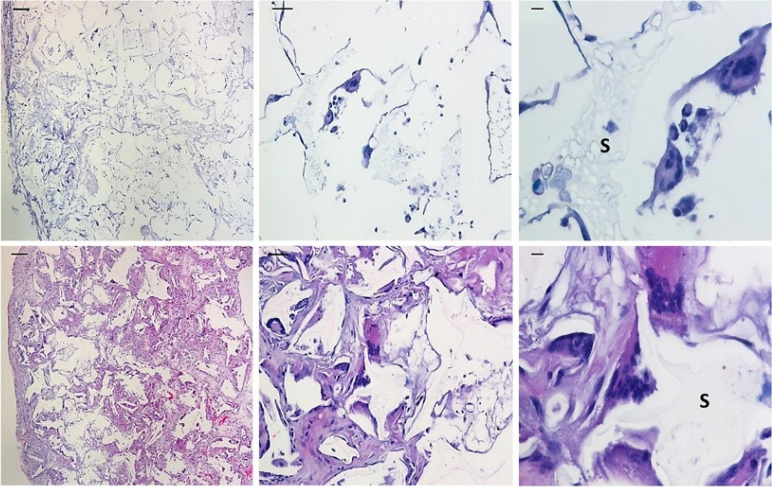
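In the upper row, the pores are mostly empty and only scattered bluish cells with dark nuclei cling to the strut edges. In the lower row, the pores are largely filled by dense pink eosinophilic tissue that contains many purple nuclei. At the highest magnification, large cells with several clustered dark nuclei lie against the scaffold surface.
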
